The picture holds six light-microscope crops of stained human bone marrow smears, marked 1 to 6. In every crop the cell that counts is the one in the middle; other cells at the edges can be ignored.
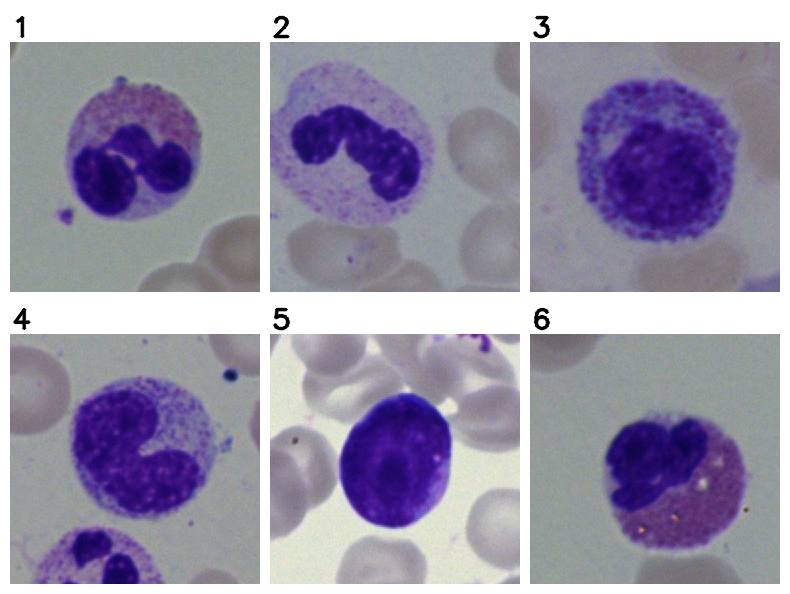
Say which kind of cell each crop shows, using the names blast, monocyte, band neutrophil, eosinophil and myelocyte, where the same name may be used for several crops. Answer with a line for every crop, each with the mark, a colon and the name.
1: eosinophil
2: band neutrophil
3: myelocyte
4: band neutrophil
5: blast
6: eosinophil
